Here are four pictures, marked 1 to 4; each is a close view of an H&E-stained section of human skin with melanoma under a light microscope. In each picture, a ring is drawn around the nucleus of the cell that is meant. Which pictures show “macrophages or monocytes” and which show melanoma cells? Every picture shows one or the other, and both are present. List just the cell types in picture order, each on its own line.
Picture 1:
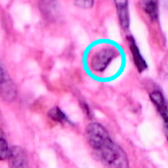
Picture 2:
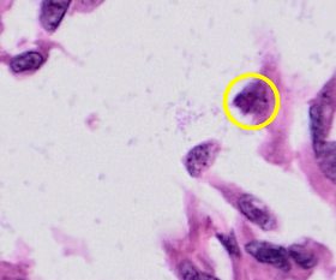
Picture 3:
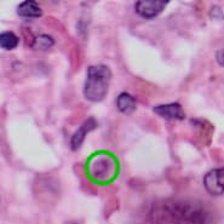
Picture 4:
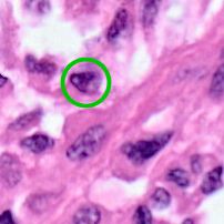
macrophage or monocyte
melanoma cell
macrophage or monocyte
melanoma cell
